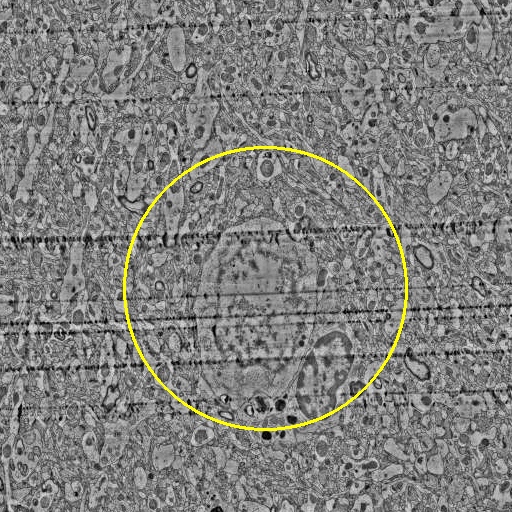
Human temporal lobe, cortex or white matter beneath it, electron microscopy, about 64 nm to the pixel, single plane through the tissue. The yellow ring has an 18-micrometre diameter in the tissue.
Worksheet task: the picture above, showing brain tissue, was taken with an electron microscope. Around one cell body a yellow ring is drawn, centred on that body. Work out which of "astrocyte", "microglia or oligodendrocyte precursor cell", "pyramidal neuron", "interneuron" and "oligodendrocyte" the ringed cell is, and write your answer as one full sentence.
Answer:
It is an interneuron whose cell body lies at the centre of the yellow ring.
